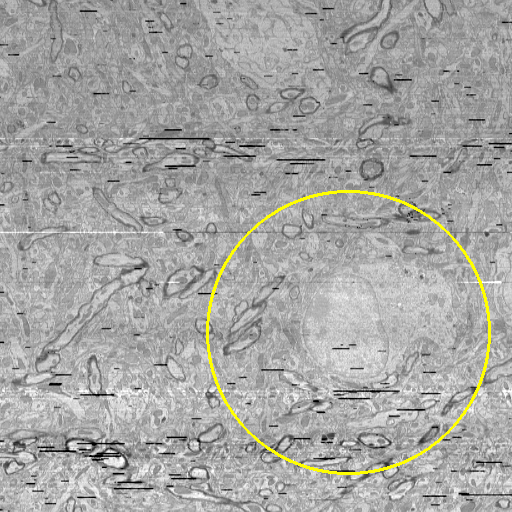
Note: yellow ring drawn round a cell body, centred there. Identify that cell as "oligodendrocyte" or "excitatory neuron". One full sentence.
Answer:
The cell in the middle of the ring is an oligodendrocyte.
